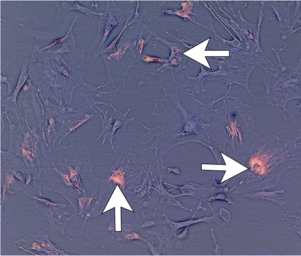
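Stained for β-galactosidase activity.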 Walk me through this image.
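The stained cells tend to be spread out and flattened, with the pink concentrated in the cytoplasm around the nucleus. Between them lie slender unstained spindle-shaped cells with long thin processes. The cells are scattered, leaving open background between them.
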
